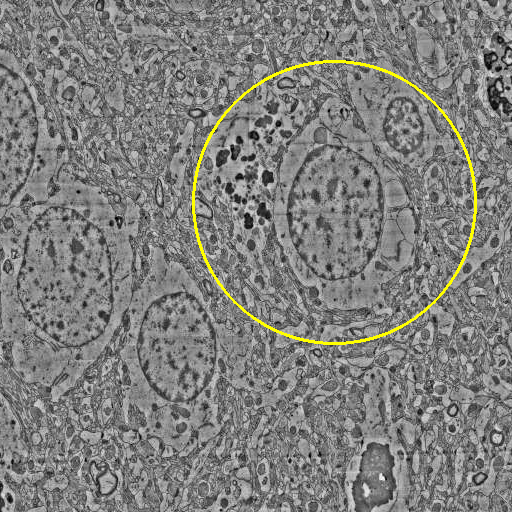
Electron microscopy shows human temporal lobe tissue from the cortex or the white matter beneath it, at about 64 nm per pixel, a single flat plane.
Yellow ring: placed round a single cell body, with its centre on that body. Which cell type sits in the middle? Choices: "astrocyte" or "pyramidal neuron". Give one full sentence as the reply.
It is an astrocyte whose cell body sits at the centre of the yellow ring.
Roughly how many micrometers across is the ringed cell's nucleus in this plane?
In this plane, roughly 9 by 6 micrometres.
